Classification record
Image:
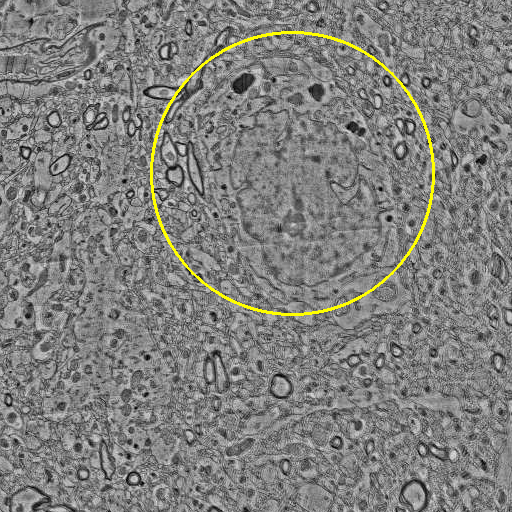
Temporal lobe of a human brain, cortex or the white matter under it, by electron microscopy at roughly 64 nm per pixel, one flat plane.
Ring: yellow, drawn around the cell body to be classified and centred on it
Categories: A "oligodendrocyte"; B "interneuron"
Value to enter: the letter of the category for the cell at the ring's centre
B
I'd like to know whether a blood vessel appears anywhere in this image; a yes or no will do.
No, no blood vessel shows in the picture.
